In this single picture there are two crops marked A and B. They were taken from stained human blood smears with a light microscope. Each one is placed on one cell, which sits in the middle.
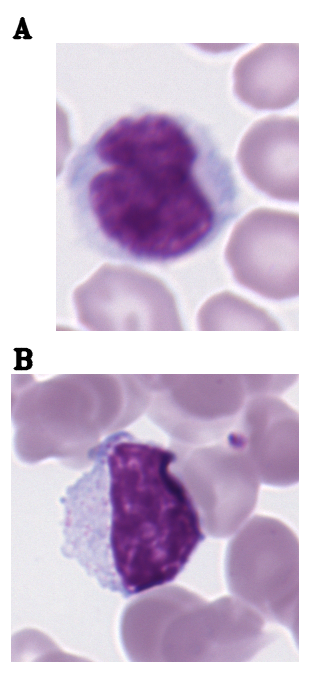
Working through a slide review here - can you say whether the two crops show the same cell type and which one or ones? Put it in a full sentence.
No, it is crop A that shows a hairy cell, and crop B shows a large granular lymphocyte.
